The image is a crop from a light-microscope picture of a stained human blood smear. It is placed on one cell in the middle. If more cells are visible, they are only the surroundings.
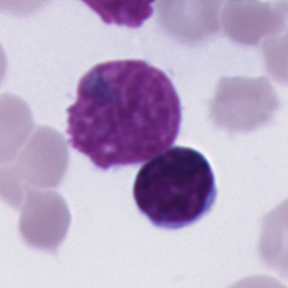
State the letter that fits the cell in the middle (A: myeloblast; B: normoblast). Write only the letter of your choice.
A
